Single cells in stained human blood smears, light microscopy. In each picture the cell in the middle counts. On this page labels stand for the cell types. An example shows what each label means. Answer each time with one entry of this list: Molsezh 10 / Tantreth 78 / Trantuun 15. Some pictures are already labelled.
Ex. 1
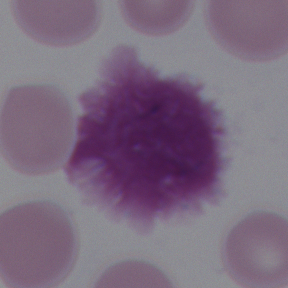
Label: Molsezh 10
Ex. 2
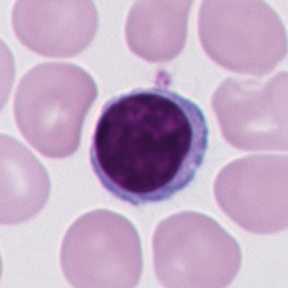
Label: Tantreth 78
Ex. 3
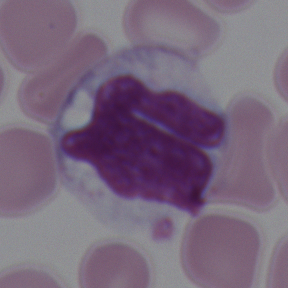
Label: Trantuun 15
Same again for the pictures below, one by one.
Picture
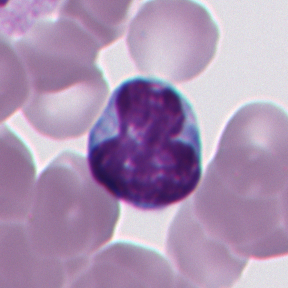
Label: Tantreth 78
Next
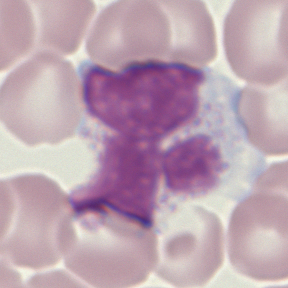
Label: Trantuun 15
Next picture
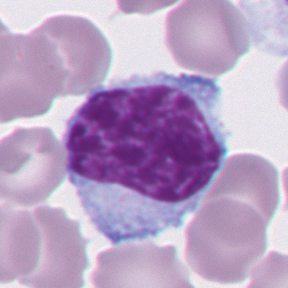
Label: Trantuun 15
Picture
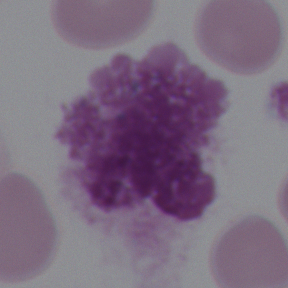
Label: Molsezh 10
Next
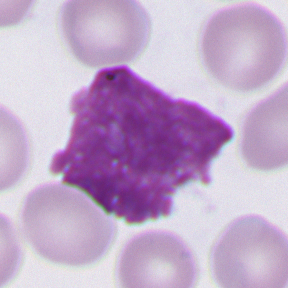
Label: Molsezh 10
